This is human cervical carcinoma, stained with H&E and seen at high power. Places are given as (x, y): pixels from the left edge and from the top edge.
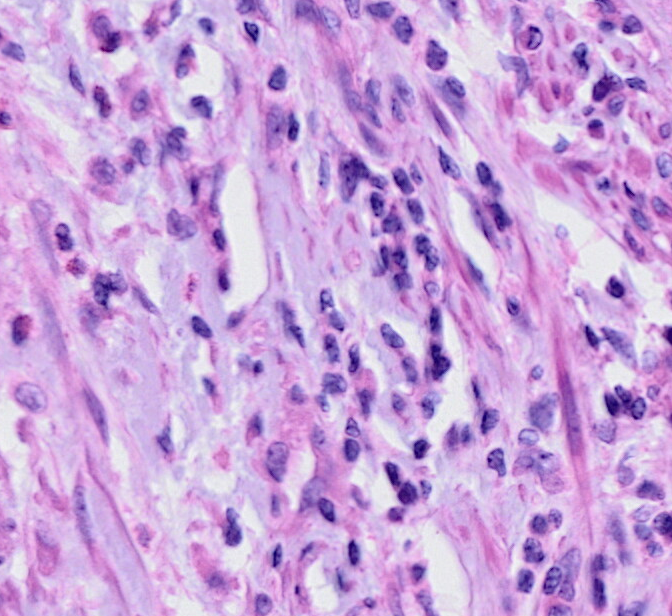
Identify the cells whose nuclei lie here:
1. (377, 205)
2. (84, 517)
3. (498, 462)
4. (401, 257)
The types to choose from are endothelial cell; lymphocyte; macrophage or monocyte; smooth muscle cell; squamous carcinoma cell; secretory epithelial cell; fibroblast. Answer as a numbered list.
1. lymphocyte
2. fibroblast
3. lymphocyte
4. lymphocyte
